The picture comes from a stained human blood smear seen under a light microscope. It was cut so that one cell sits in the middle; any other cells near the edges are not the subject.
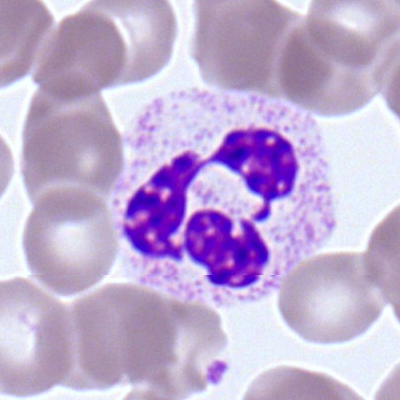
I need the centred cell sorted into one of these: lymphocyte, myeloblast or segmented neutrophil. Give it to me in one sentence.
In the middle of this smear crop, the cell is a segmented neutrophil.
